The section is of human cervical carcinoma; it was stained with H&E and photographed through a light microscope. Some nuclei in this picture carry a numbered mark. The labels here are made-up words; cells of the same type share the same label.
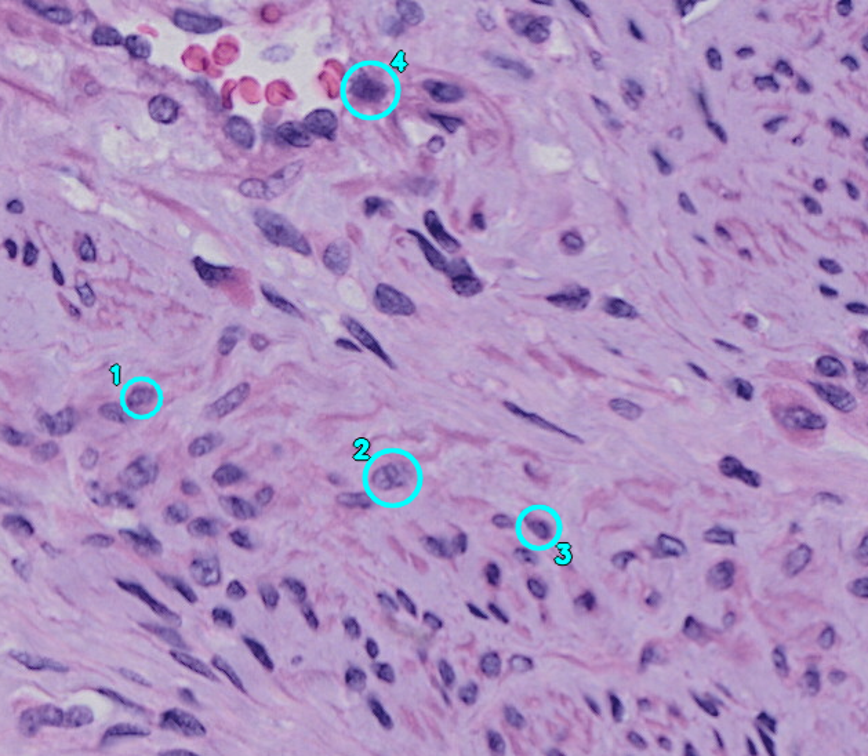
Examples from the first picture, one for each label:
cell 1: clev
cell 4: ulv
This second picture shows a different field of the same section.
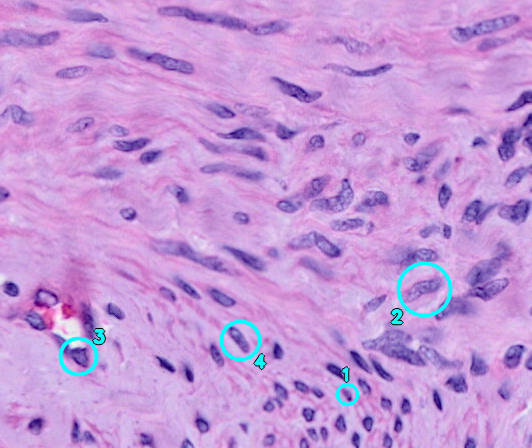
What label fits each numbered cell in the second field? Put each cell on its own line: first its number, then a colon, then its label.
1: clev
2: clev
3: ulv
4: clev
